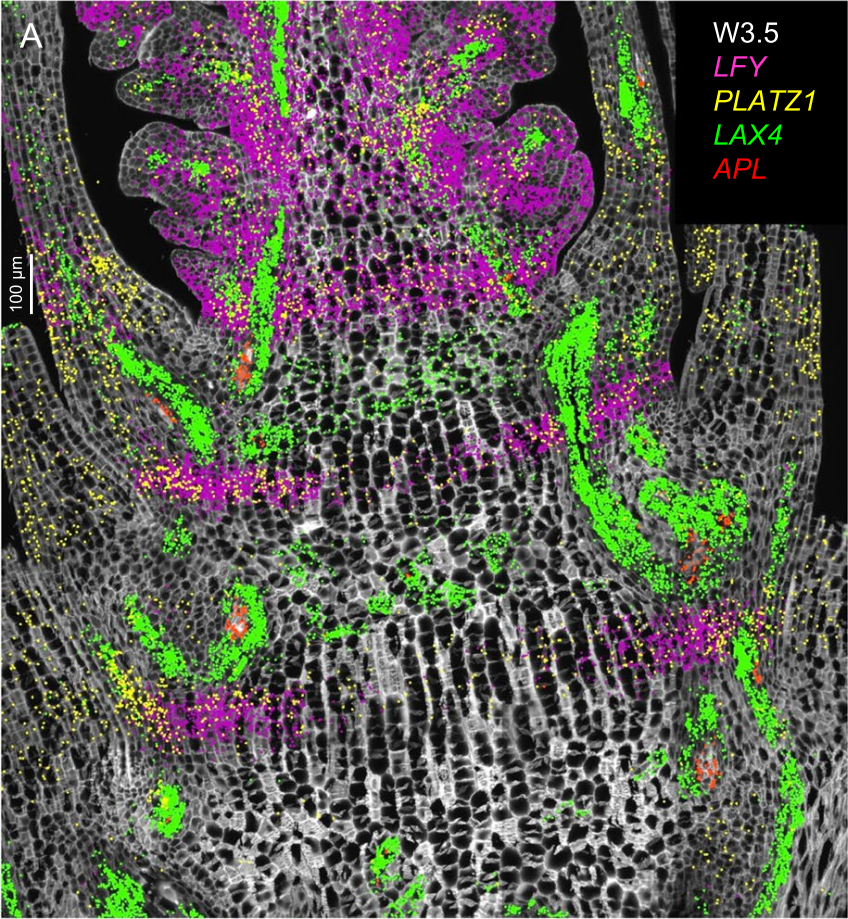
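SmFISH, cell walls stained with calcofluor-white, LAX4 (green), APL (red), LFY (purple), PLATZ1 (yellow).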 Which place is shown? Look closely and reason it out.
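Lobed, densely packed primordia fill the top of the image. Below them lies a broad stem of rows of cells with sheathing organs at the sides.
Answer: the basal region below the spike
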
